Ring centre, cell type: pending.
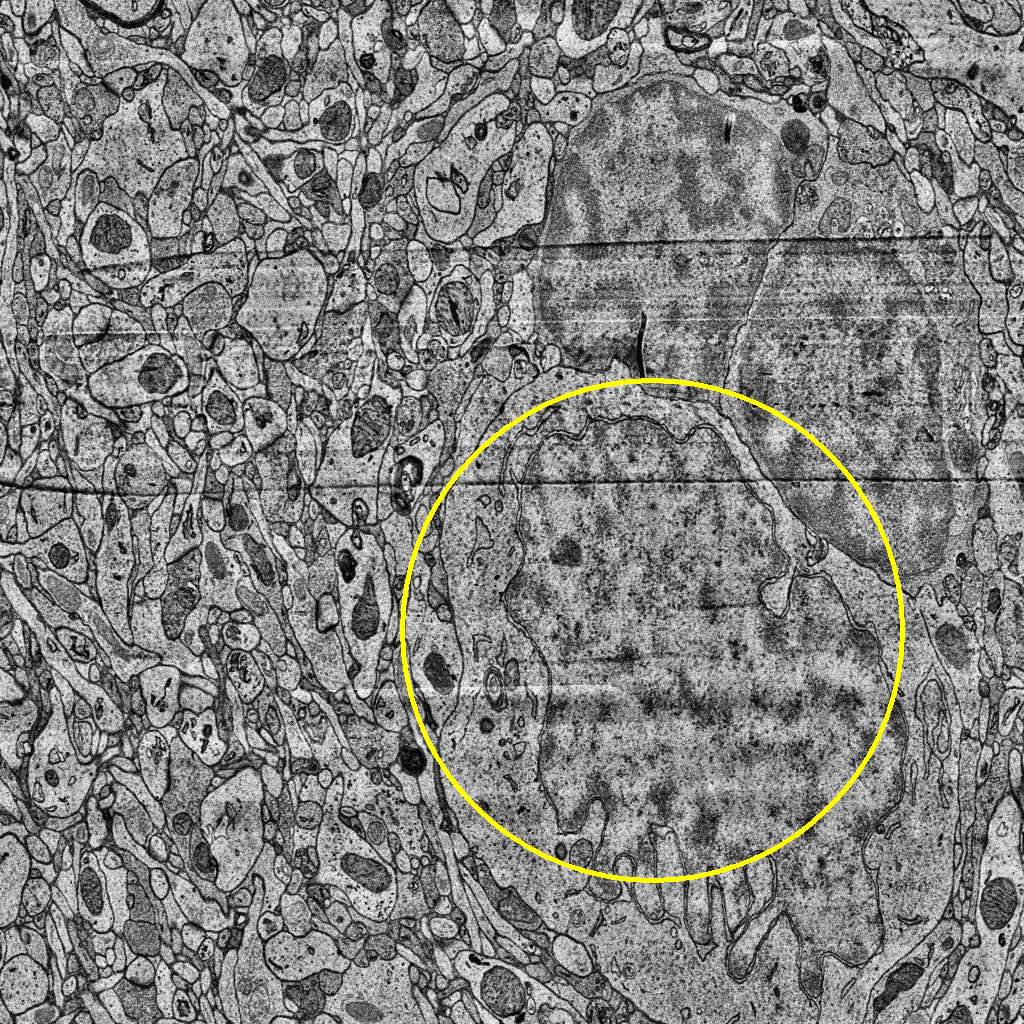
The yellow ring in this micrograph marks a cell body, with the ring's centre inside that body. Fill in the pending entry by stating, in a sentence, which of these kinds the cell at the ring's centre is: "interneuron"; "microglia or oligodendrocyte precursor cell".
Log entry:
The cell at the ring's centre is recorded as an interneuron.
